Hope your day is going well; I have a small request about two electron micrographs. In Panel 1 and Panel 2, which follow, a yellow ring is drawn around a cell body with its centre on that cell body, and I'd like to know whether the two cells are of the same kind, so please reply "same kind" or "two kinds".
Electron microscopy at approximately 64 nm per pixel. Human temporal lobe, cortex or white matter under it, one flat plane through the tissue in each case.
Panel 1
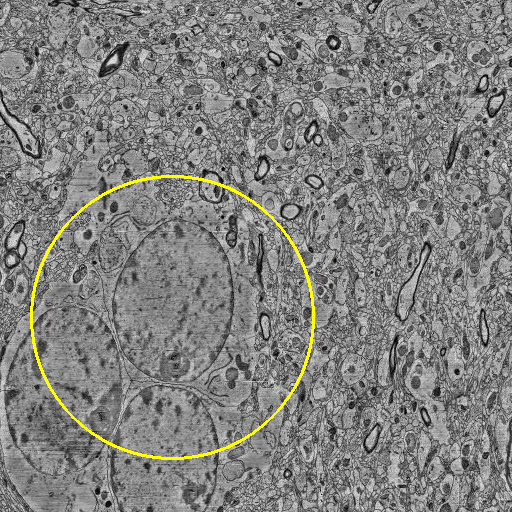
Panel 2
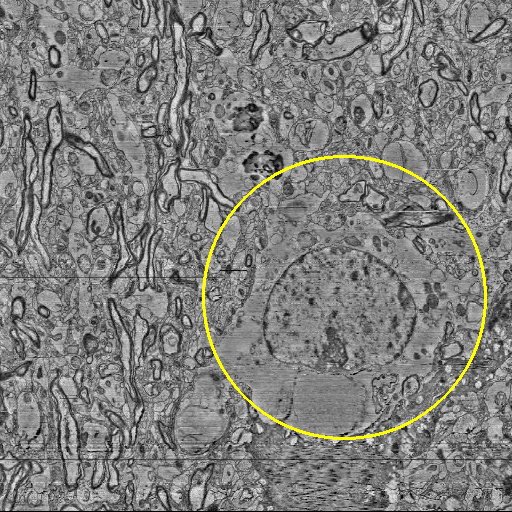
same kind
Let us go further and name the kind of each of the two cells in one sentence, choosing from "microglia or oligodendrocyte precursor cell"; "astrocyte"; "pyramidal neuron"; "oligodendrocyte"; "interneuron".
The first and the second cell are each an astrocyte.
